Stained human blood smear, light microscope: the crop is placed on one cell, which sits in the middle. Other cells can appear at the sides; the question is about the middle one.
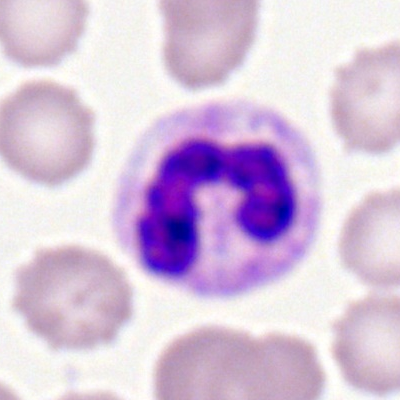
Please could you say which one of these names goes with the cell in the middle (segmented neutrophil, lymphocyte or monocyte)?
segmented neutrophil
